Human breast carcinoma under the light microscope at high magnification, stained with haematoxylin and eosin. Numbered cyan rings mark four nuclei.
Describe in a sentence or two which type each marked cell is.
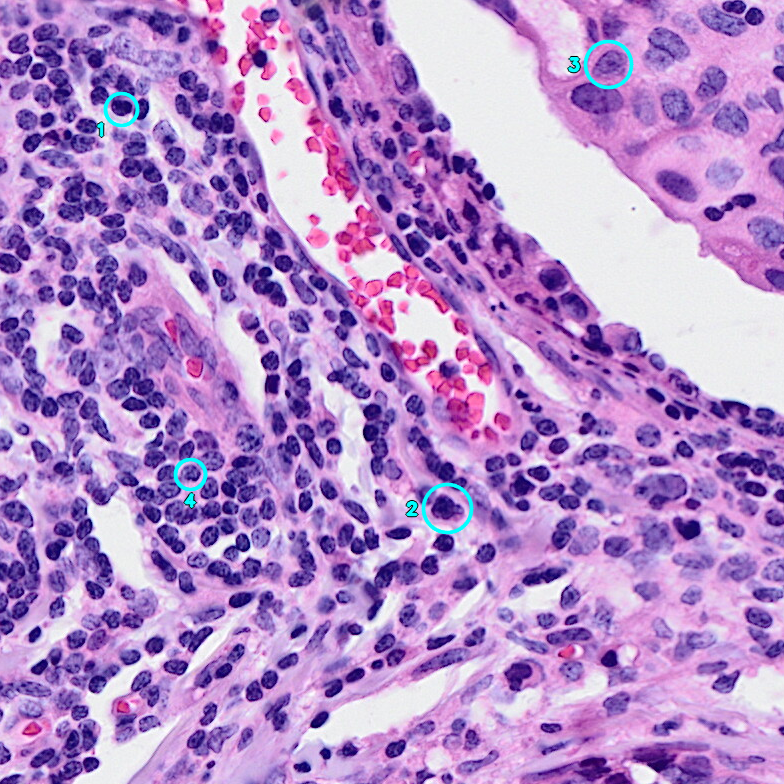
Cells 1, 2 and 4 are lymphocytes. Cell 3 is a carcinoma cell.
